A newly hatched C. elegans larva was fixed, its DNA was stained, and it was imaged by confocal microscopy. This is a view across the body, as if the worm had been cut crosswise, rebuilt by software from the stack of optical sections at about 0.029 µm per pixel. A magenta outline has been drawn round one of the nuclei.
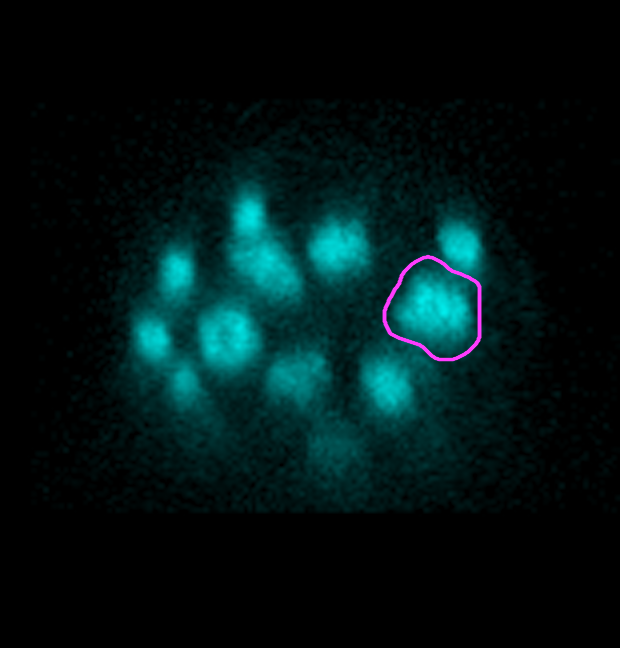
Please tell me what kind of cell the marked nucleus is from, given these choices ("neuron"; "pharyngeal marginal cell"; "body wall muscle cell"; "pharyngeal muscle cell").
pharyngeal muscle cell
